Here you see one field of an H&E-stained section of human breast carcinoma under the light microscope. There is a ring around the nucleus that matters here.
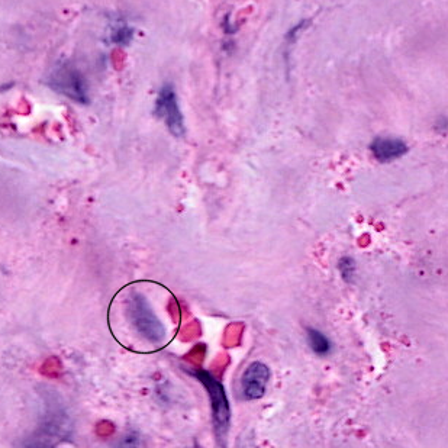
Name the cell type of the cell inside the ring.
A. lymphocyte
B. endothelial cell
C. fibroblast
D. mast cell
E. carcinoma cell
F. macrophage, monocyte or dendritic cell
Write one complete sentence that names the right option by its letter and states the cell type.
Option B is right, and the cell inside the ring is an endothelial cell.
